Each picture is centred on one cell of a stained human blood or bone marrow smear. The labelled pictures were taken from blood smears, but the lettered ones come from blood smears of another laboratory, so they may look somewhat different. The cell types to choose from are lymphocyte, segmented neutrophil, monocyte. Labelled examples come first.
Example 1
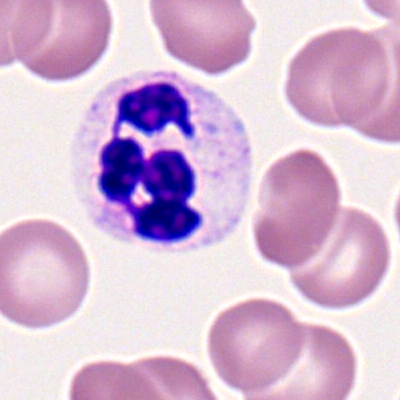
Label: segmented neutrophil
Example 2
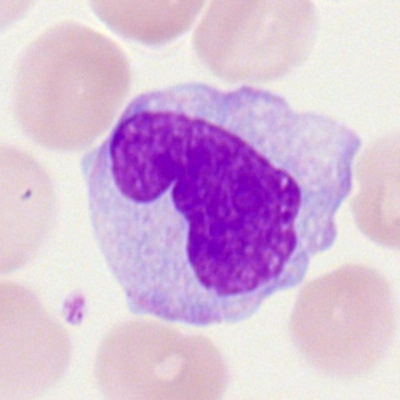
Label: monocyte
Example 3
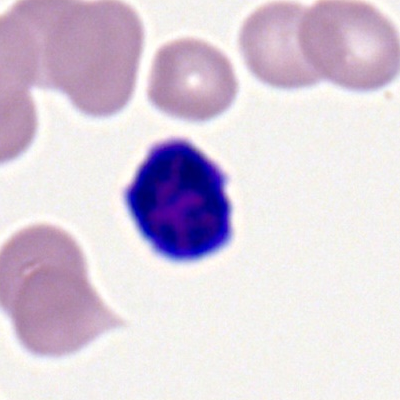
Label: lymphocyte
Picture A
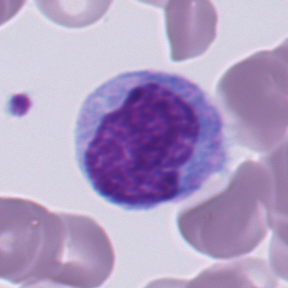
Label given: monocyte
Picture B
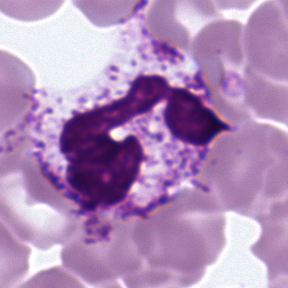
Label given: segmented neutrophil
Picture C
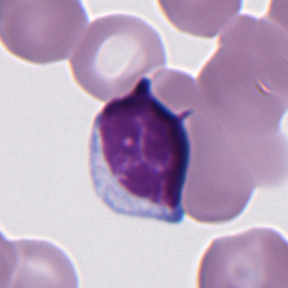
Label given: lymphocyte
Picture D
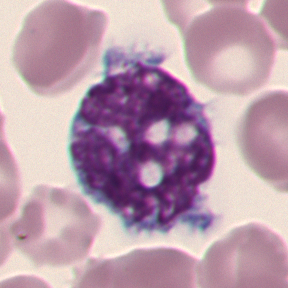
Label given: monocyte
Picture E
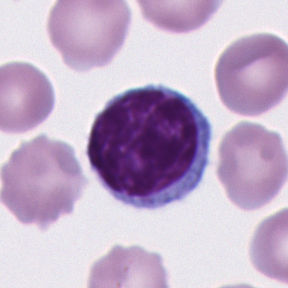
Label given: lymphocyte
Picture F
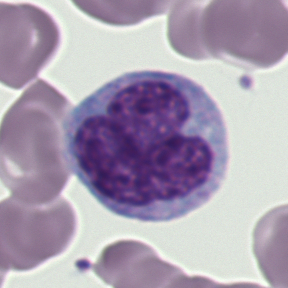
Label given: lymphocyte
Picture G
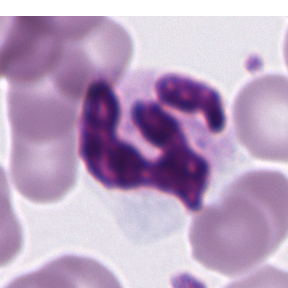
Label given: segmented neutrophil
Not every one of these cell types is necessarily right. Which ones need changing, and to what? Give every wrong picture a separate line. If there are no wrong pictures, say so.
F is labelled lymphocyte; correct label: monocyte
